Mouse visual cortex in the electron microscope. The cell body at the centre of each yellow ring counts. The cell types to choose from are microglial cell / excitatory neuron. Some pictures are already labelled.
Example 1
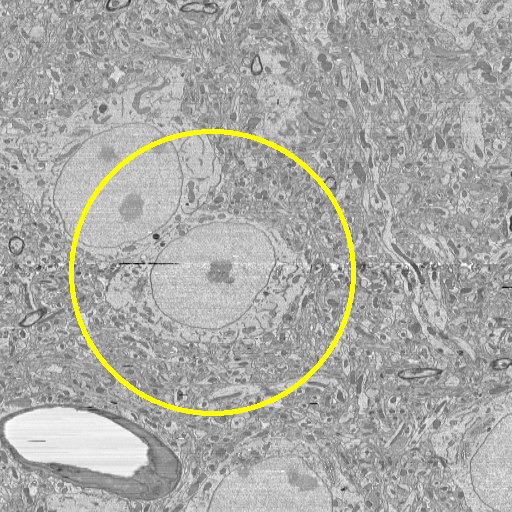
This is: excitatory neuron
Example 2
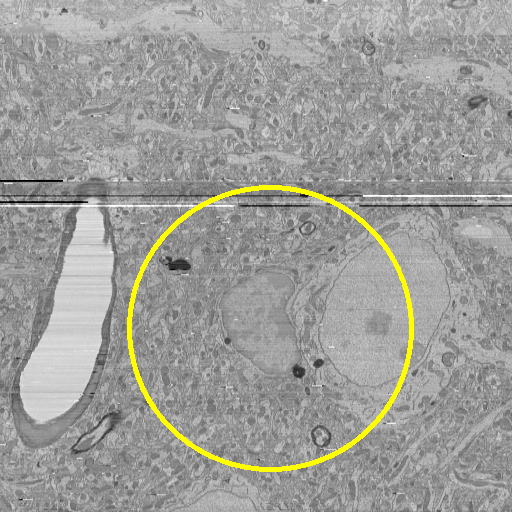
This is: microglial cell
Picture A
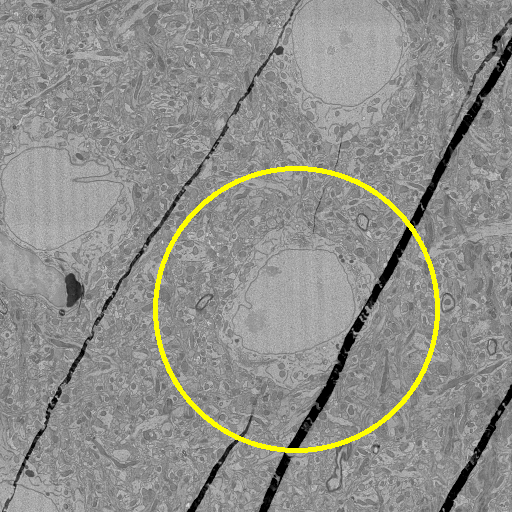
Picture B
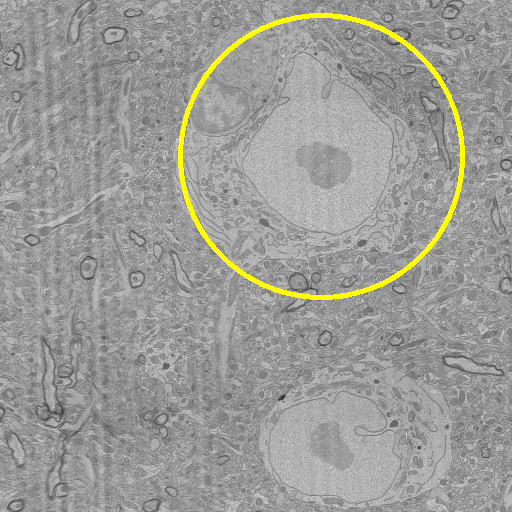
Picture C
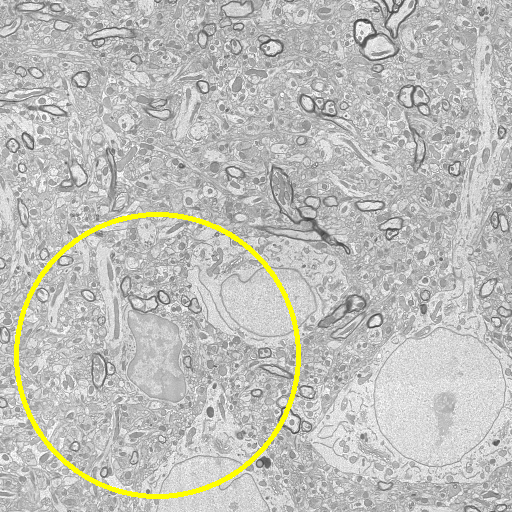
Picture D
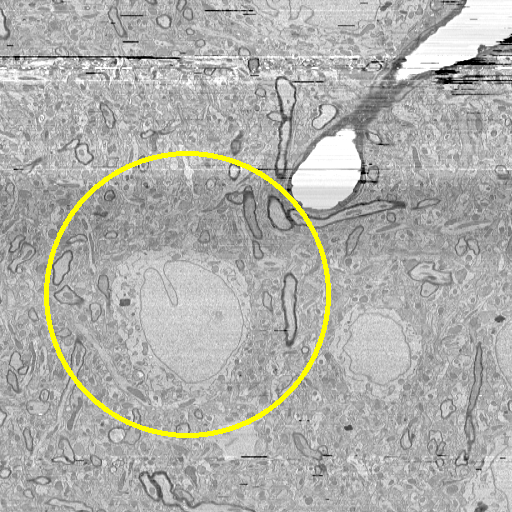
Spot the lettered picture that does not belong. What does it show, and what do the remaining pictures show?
C differs and shows microglial cell; the others show excitatory neuron.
